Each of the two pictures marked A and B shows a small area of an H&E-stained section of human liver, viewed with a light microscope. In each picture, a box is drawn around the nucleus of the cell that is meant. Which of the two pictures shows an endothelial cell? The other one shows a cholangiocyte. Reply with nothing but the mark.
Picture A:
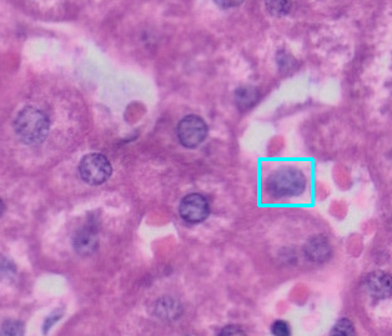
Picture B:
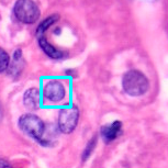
A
